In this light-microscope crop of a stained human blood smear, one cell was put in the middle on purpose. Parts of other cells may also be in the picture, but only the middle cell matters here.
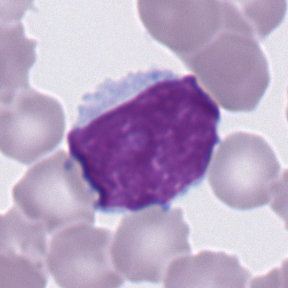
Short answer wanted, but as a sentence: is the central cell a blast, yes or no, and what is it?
No, the centred cell is a lymphocyte instead of a blast.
